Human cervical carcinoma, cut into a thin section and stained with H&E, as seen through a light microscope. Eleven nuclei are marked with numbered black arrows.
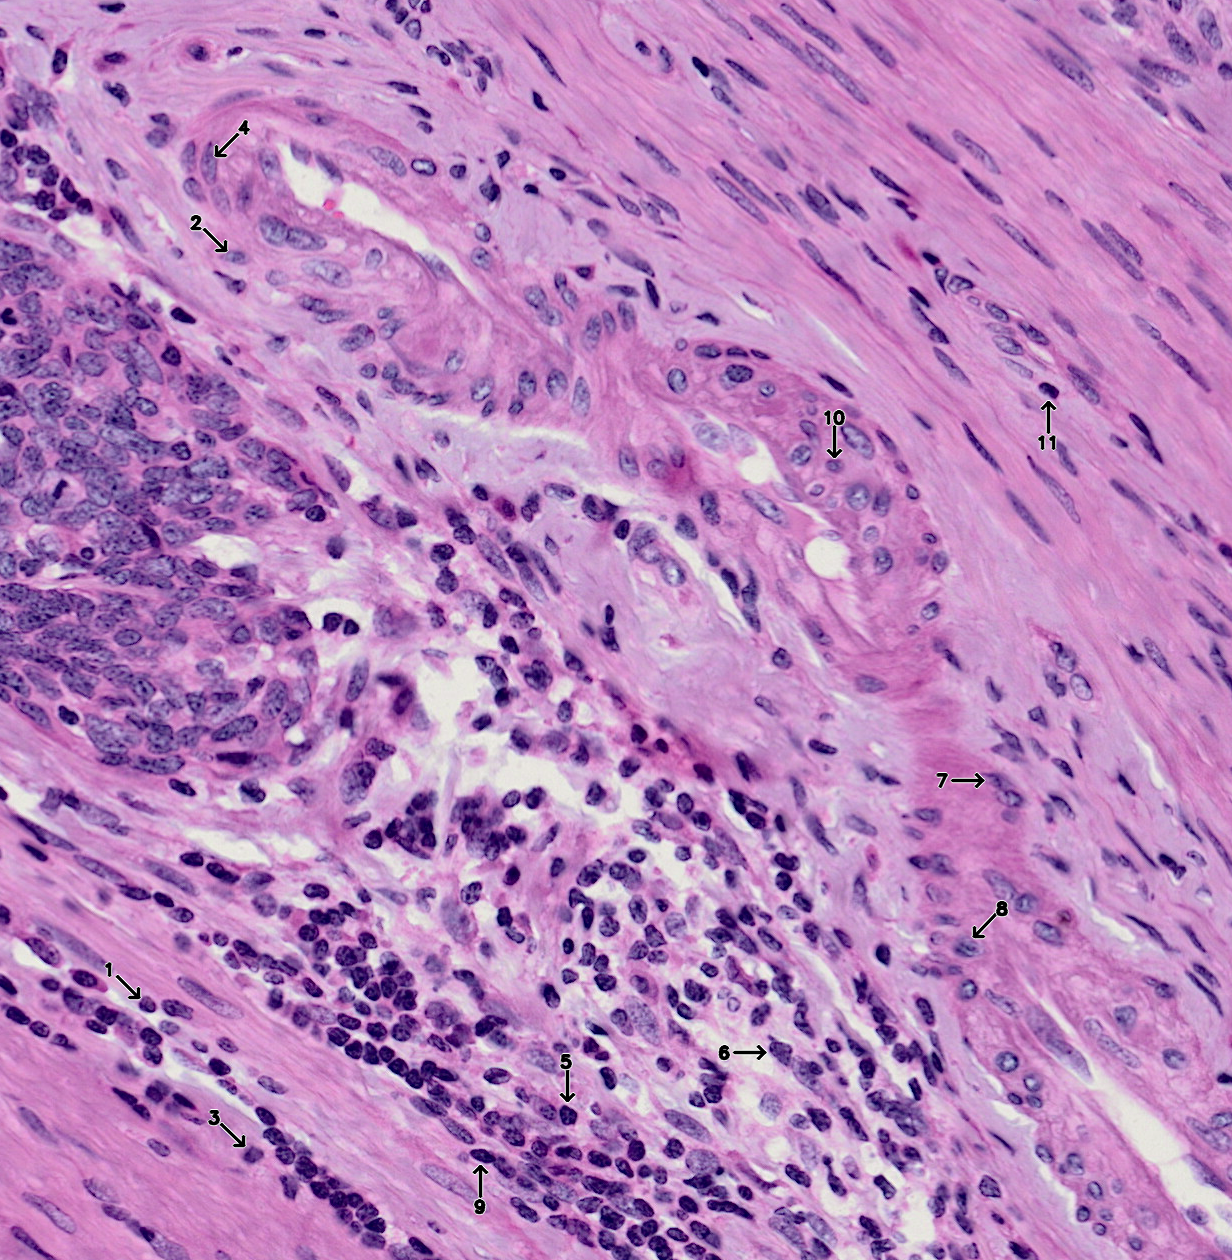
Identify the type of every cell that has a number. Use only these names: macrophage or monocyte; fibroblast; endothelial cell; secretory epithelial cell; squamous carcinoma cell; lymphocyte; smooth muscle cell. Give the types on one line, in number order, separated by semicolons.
lymphocyte; smooth muscle cell; lymphocyte; smooth muscle cell; lymphocyte; lymphocyte; smooth muscle cell; smooth muscle cell; lymphocyte; smooth muscle cell; lymphocyte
